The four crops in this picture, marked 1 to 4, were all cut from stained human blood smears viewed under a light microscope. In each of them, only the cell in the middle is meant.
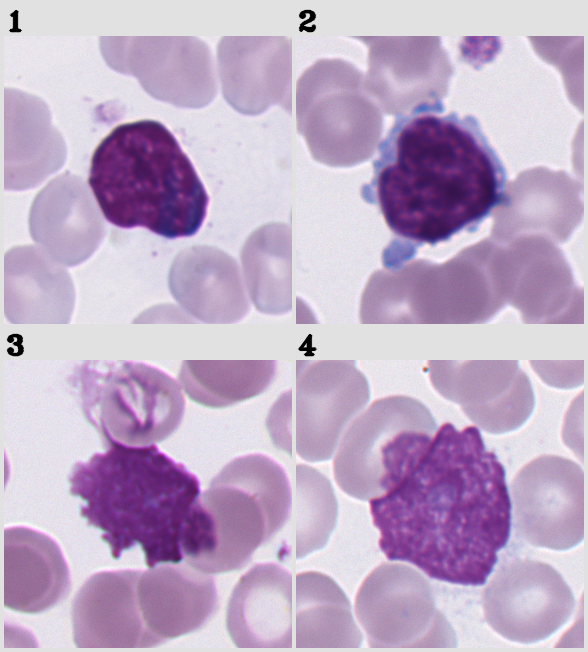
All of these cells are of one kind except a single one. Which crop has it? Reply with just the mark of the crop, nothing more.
2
